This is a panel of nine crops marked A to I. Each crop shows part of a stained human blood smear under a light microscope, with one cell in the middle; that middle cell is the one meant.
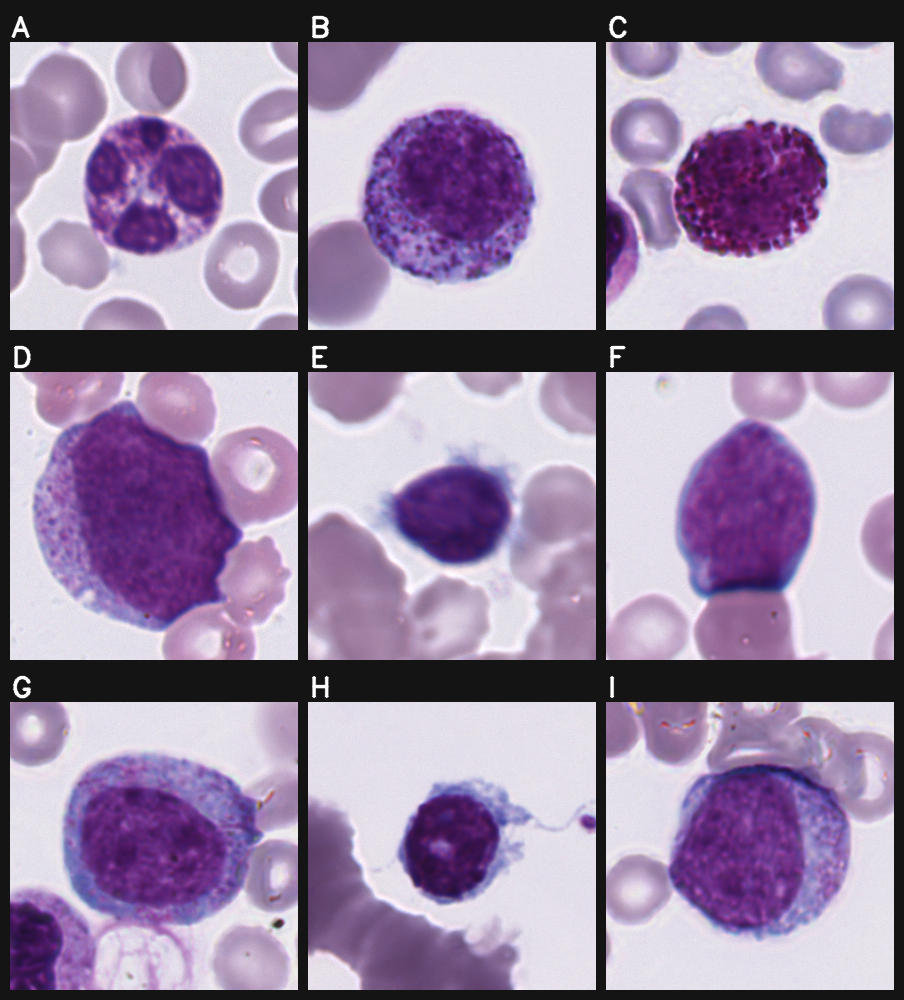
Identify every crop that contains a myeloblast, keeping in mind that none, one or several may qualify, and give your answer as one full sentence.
Crop F is the lone crop showing a myeloblast.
